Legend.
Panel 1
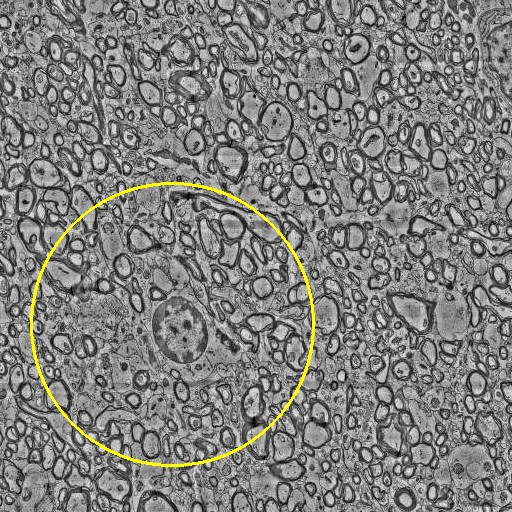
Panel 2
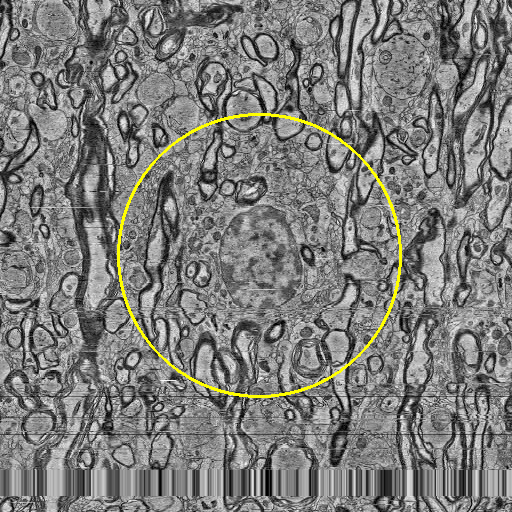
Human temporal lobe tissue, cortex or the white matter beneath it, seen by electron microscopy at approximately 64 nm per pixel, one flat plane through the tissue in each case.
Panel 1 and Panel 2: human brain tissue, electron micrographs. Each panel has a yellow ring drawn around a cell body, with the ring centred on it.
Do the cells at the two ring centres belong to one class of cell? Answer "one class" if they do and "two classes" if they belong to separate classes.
one class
